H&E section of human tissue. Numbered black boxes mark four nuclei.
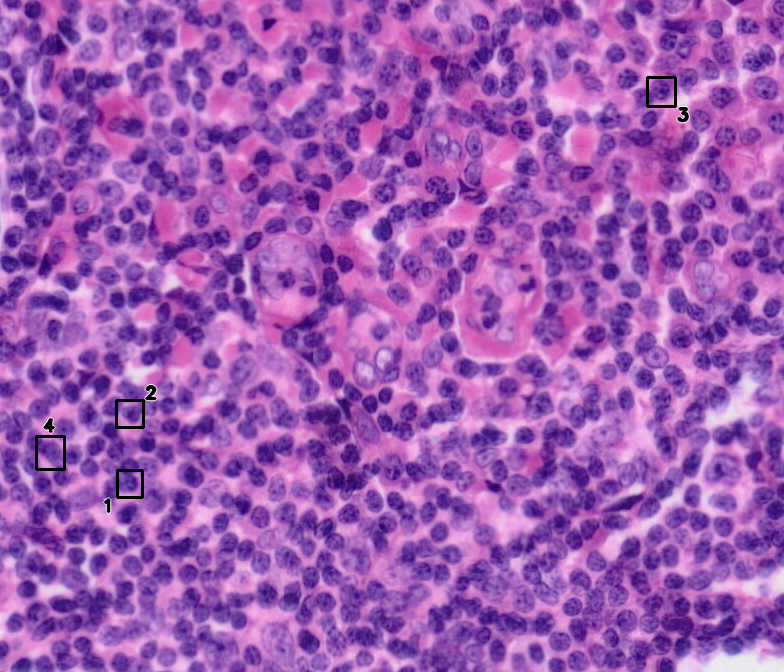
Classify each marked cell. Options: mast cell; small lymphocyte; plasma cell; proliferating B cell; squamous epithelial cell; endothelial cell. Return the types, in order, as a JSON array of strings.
["small lymphocyte", "small lymphocyte", "plasma cell", "small lymphocyte"]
